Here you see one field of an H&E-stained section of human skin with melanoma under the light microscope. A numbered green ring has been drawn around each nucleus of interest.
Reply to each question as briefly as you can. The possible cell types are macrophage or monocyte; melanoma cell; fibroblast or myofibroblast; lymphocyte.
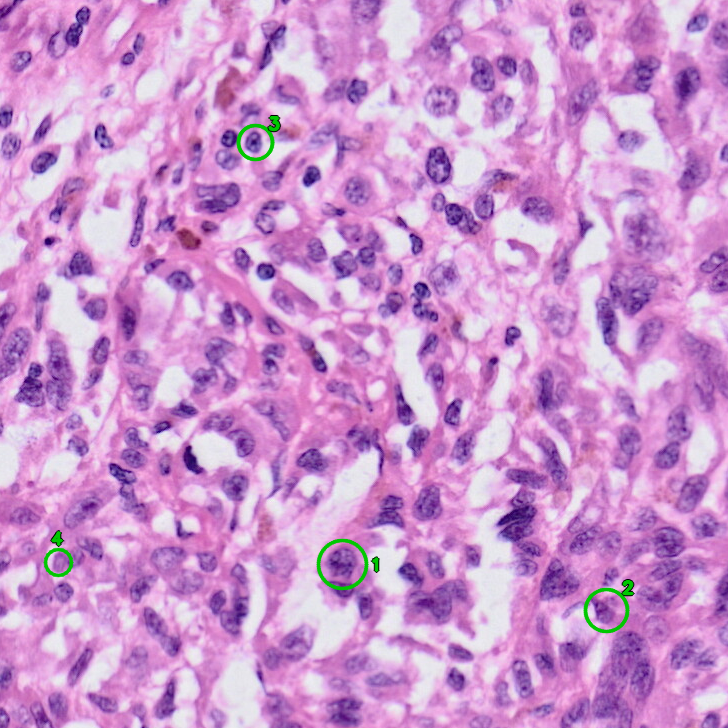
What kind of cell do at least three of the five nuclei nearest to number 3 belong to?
macrophage or monocyte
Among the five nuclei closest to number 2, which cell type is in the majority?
melanoma cell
